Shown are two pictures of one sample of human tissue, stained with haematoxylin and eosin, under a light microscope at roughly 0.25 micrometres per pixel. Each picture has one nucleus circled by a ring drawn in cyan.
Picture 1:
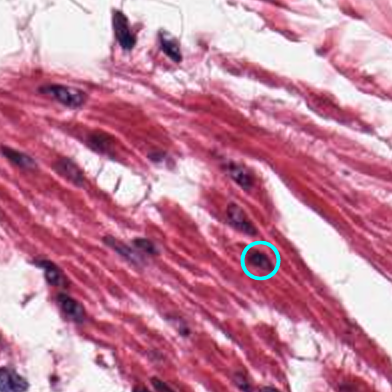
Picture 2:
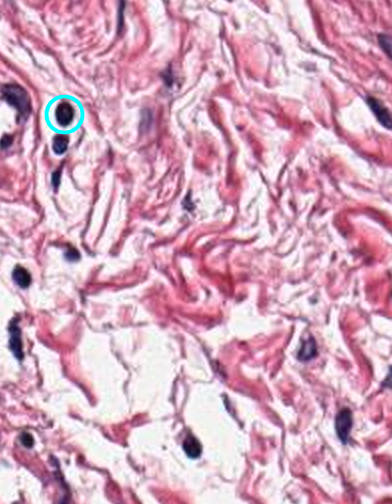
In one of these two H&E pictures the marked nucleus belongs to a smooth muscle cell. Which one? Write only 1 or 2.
1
